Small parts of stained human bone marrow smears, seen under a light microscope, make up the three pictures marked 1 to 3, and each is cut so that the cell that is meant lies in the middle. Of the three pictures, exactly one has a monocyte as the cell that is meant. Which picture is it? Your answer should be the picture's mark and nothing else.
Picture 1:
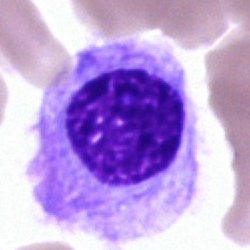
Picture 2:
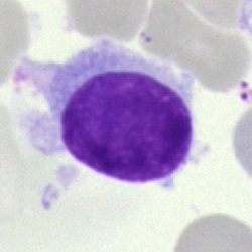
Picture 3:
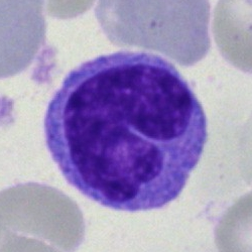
3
